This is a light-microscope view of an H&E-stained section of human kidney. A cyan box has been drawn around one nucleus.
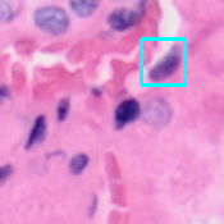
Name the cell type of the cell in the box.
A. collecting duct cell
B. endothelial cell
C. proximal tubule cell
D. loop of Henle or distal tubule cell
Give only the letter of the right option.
B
